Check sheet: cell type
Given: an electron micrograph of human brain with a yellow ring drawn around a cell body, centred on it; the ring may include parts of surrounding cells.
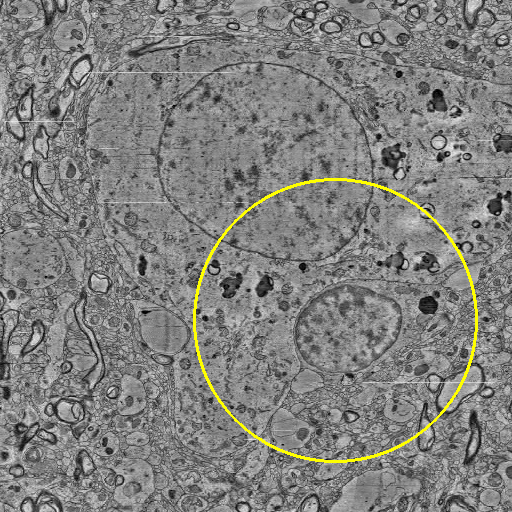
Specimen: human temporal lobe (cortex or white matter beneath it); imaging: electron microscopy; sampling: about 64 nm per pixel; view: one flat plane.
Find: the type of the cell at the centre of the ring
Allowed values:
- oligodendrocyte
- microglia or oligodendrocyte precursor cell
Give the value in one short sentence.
Here the ringed cell is an oligodendrocyte.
